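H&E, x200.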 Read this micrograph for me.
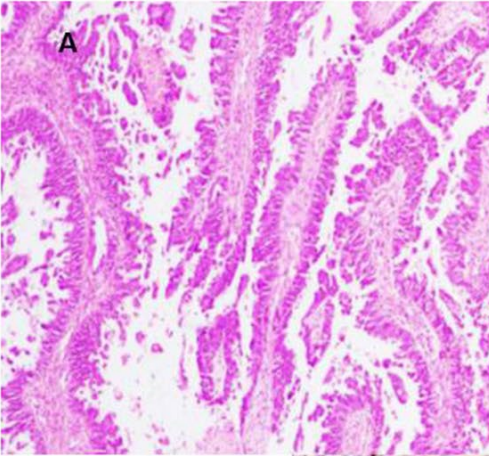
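Carcinoma formed of papillary structures, stained pink and purple. Slender branching fronds have pale pink stromal cores. The fronds are lined by tall, crowded epithelial cells with stratified, dark purple elongated nuclei. Narrow slit-like and irregular empty spaces separate the fronds. Small detached cell clusters lie free in some spaces.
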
